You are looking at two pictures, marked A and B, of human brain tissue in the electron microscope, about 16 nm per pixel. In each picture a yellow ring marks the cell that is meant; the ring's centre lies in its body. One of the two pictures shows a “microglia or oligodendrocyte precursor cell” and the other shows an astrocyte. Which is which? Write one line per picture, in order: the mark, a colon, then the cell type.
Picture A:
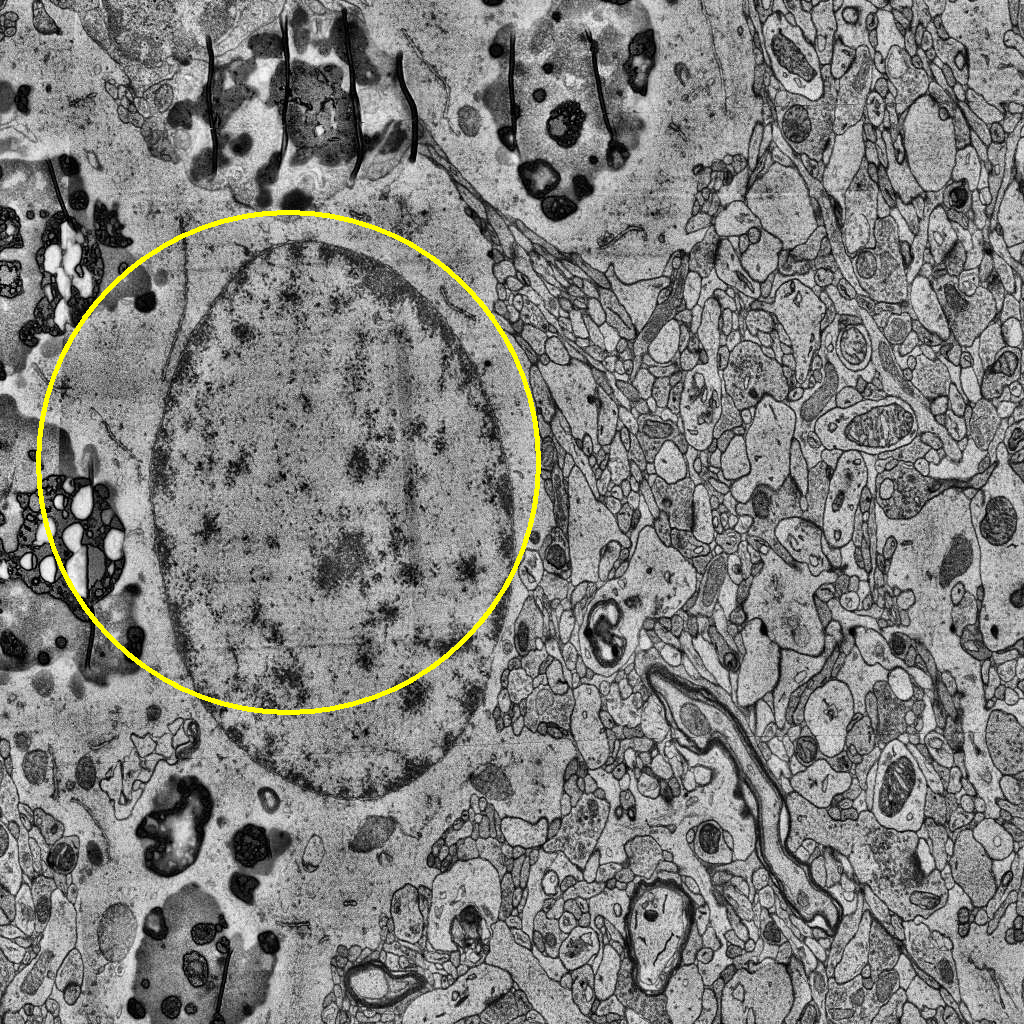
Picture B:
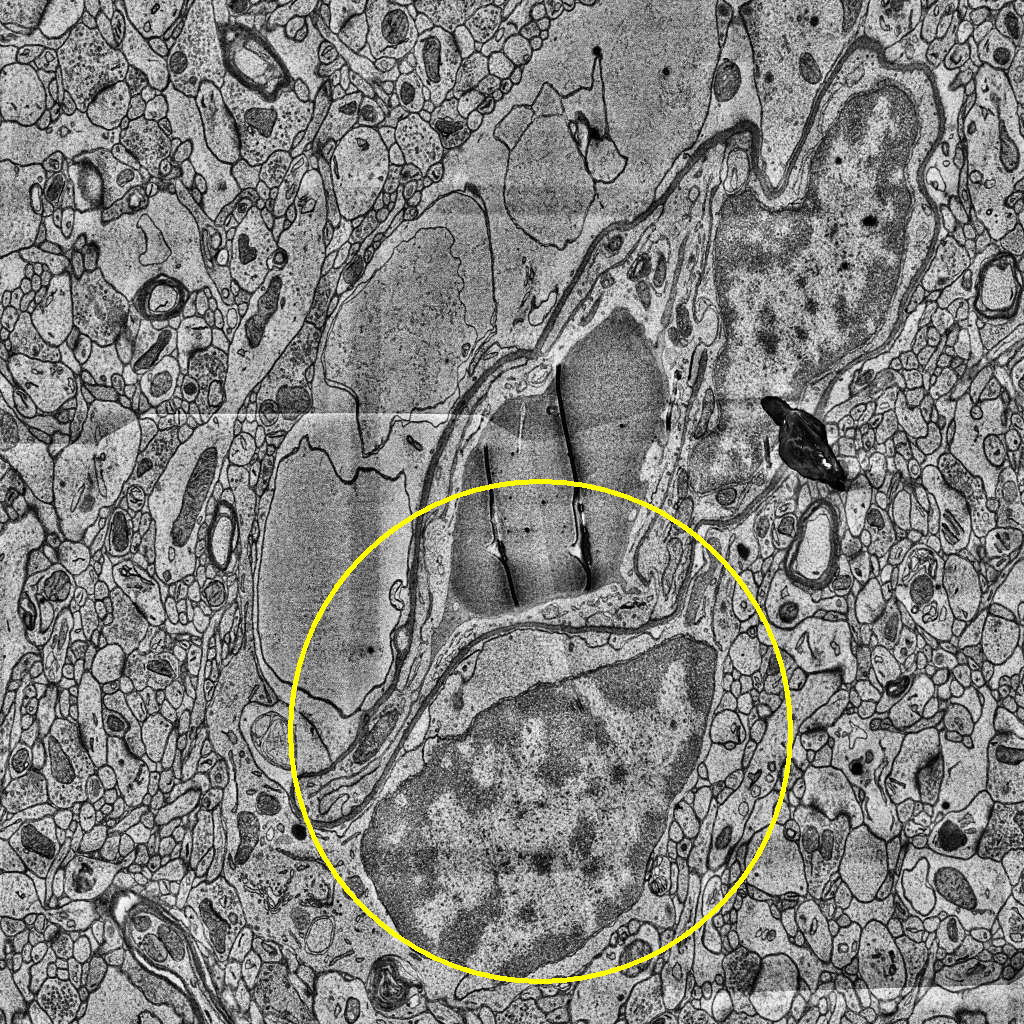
A: astrocyte
B: microglia or oligodendrocyte precursor cell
